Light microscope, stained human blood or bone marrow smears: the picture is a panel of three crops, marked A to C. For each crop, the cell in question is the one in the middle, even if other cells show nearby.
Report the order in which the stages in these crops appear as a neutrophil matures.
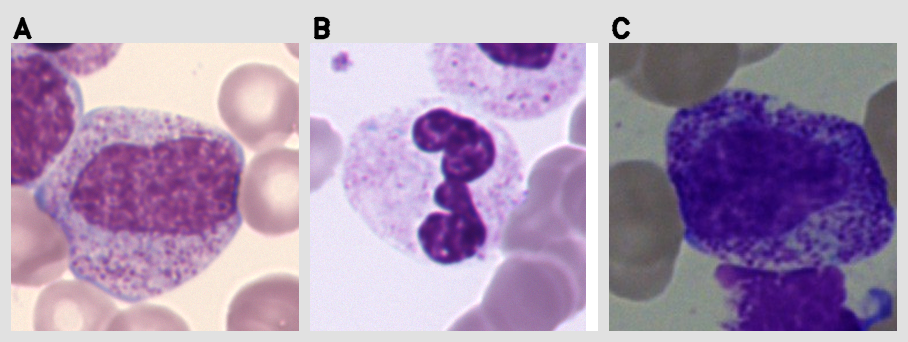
A, C, B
